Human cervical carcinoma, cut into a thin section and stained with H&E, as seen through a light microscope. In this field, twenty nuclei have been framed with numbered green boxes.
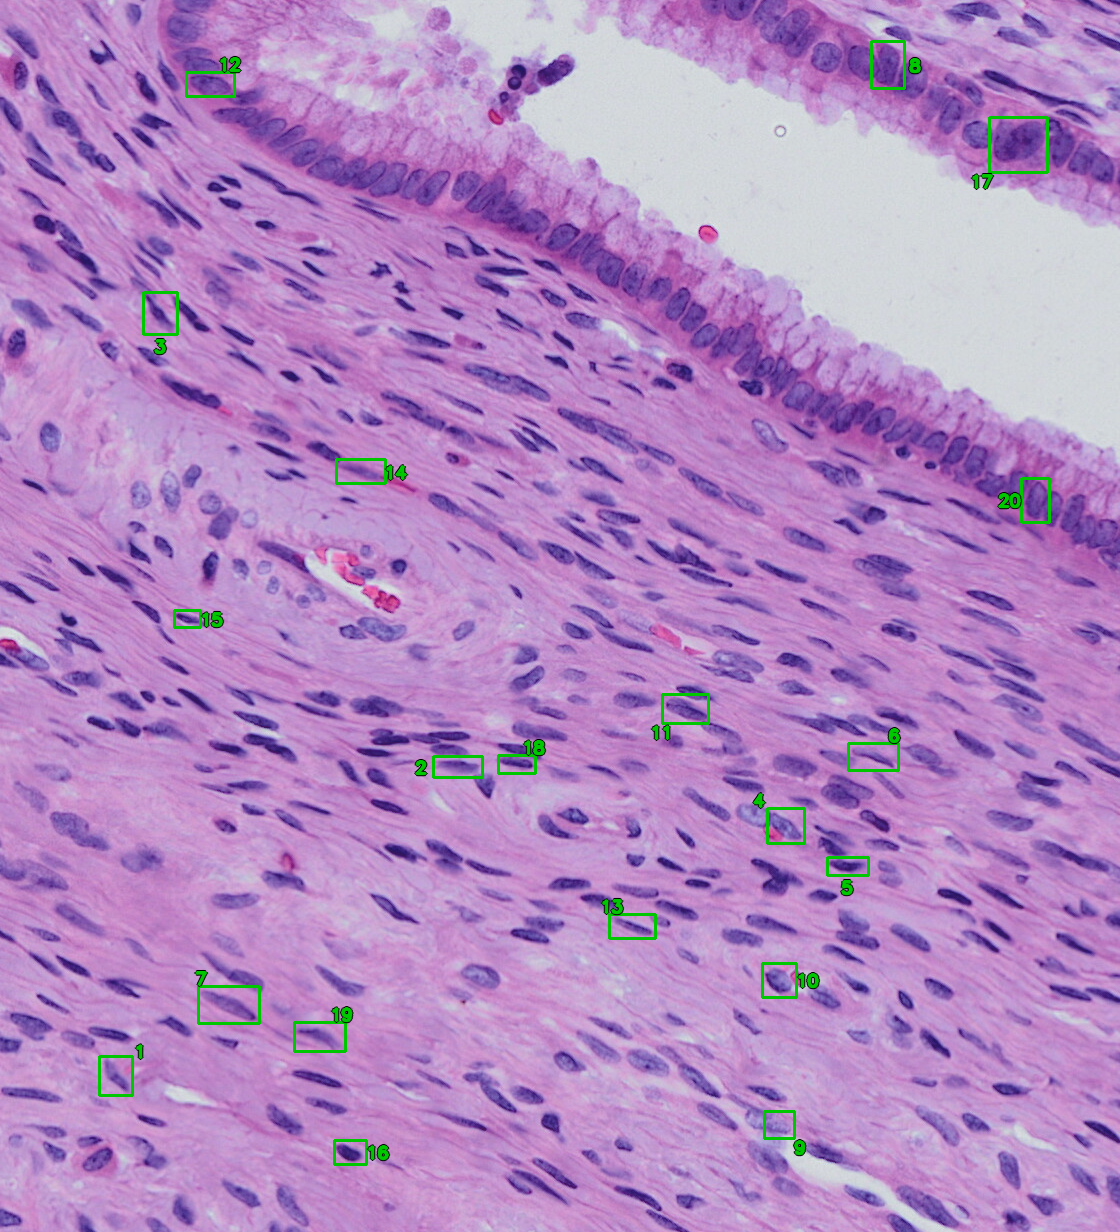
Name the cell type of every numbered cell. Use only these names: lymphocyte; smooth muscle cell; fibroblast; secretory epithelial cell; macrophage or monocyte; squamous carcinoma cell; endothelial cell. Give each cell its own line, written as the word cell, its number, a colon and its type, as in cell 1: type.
cell 1: fibroblast
cell 2: fibroblast
cell 3: fibroblast
cell 4: endothelial cell
cell 5: fibroblast
cell 6: fibroblast
cell 7: fibroblast
cell 8: secretory epithelial cell
cell 9: endothelial cell
cell 10: endothelial cell
cell 11: fibroblast
cell 12: secretory epithelial cell
cell 13: fibroblast
cell 14: endothelial cell
cell 15: fibroblast
cell 16: lymphocyte
cell 17: secretory epithelial cell
cell 18: fibroblast
cell 19: fibroblast
cell 20: secretory epithelial cell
